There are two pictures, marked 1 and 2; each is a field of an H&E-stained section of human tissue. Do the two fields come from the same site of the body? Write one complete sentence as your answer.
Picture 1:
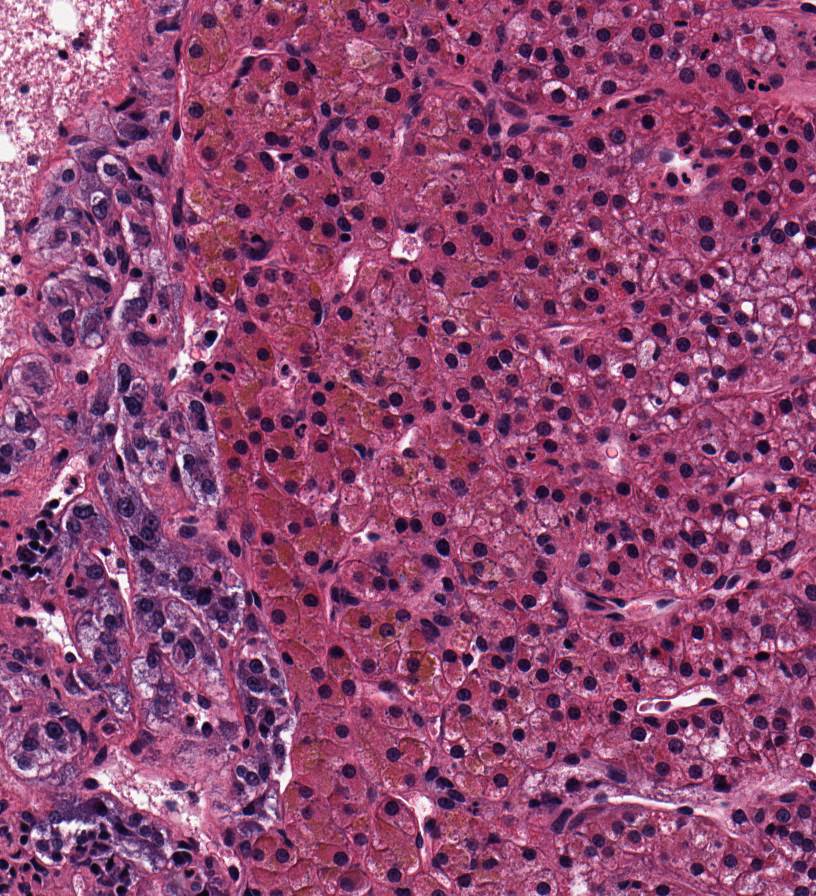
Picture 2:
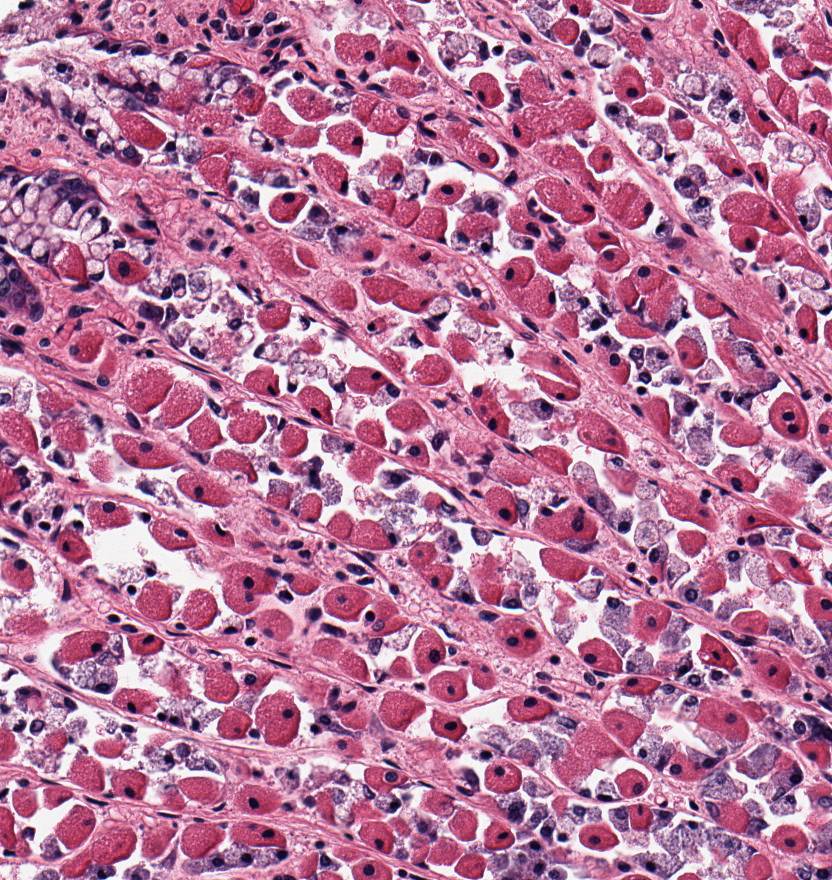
No, they differ: picture 1 comes from the adrenal gland, and picture 2 comes from the stomach.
